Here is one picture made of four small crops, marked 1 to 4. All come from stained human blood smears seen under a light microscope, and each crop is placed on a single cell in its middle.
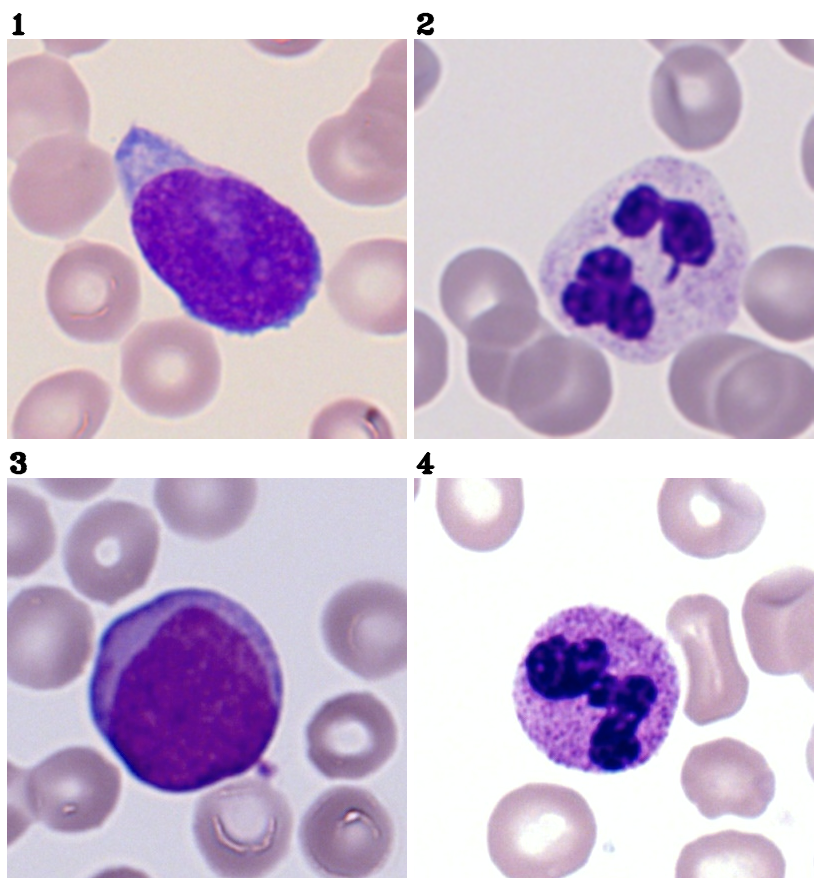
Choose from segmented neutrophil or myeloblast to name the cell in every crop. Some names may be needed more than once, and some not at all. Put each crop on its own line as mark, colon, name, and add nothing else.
1: myeloblast
2: segmented neutrophil
3: myeloblast
4: segmented neutrophil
